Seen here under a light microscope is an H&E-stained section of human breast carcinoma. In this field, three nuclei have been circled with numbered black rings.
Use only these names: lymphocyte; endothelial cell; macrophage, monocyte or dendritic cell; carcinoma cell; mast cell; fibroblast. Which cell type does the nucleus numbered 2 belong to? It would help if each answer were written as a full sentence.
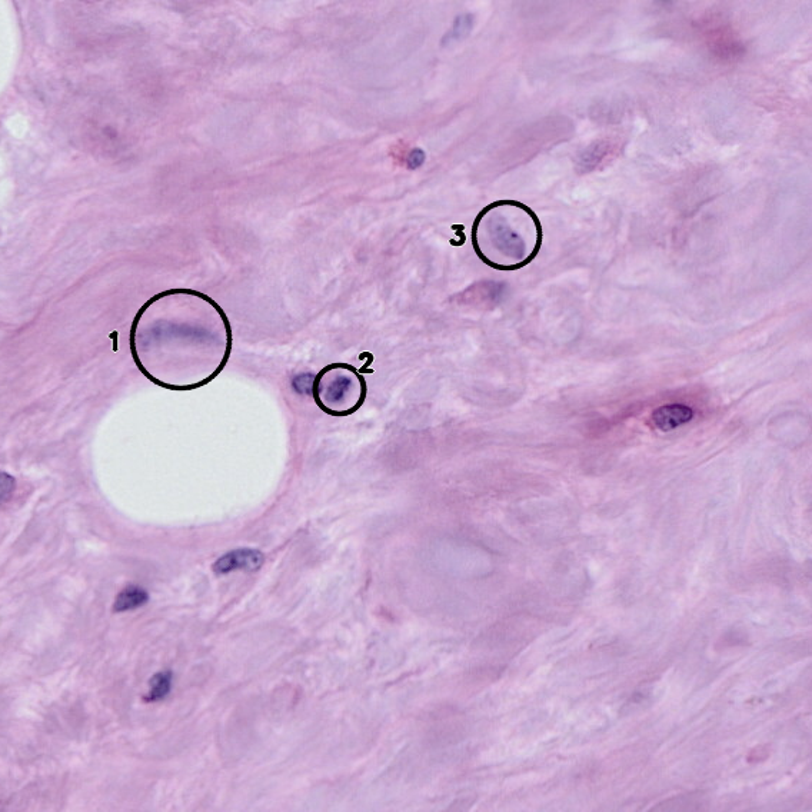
The cell referred to as 2 is a lymphocyte.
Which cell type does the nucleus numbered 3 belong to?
Among the marked nuclei, number 3 belongs to a fibroblast.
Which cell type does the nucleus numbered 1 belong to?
Number 1 among the marked cells is a fibroblast.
